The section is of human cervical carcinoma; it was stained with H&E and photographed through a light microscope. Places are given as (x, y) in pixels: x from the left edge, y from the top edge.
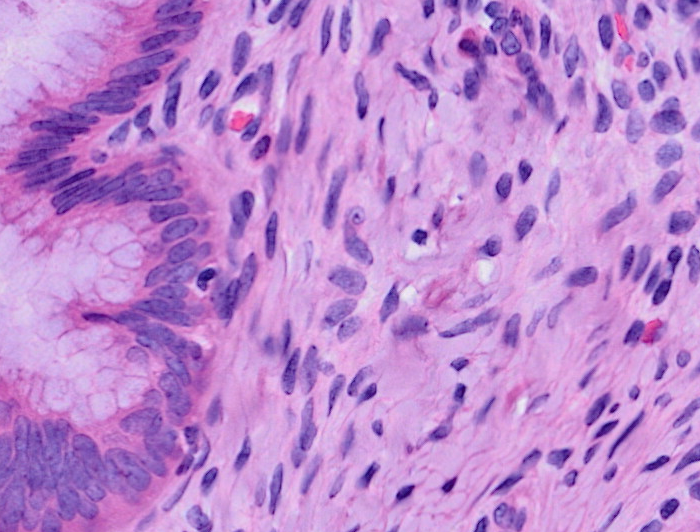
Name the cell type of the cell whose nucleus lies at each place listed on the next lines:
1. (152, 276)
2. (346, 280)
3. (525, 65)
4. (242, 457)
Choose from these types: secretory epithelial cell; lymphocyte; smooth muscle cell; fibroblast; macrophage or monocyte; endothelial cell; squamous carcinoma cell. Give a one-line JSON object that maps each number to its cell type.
{"1": "secretory epithelial cell", "2": "fibroblast", "3": "endothelial cell", "4": "fibroblast"}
